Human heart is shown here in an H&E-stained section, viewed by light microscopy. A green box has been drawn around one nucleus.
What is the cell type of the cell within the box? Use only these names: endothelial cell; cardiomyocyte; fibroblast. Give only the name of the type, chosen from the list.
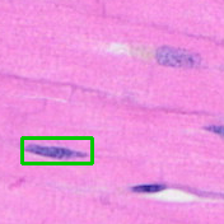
endothelial cell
